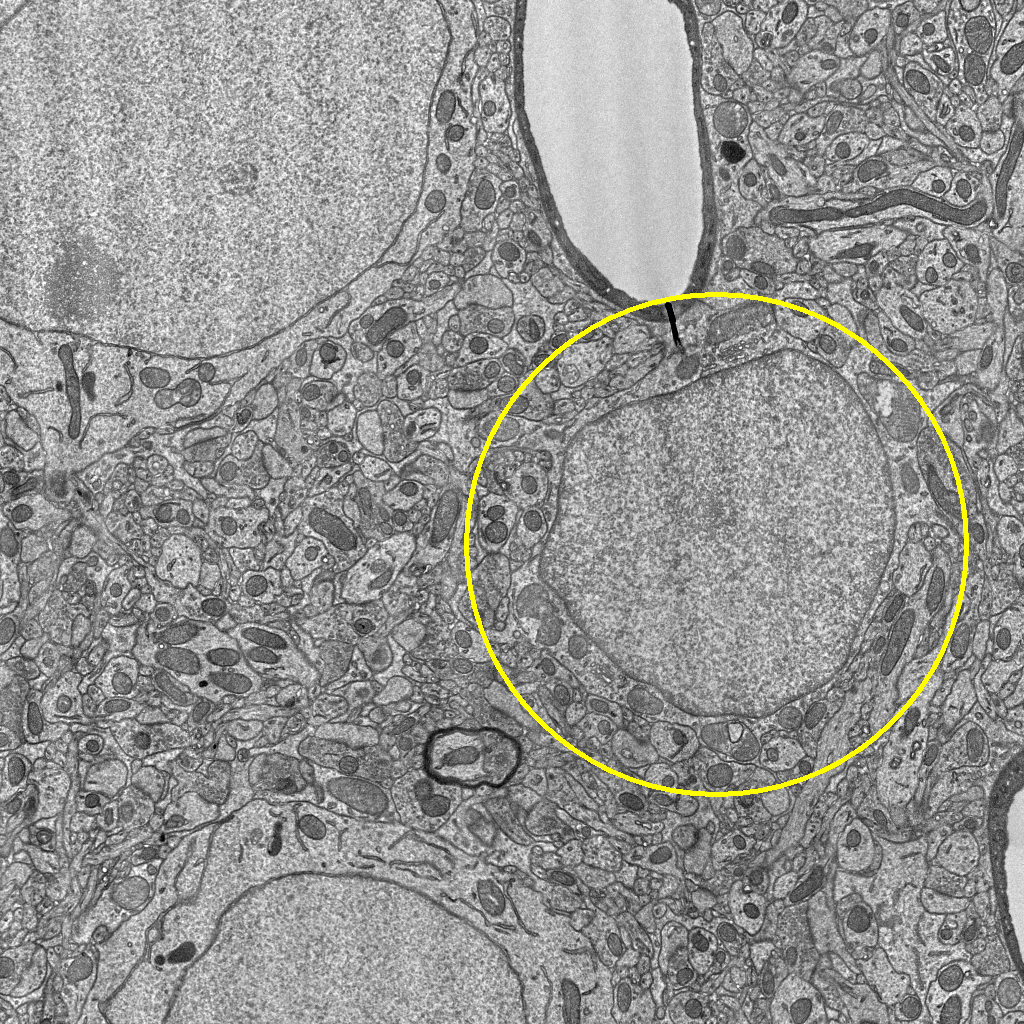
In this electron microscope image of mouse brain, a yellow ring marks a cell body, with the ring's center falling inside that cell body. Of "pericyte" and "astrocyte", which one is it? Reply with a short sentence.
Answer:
It is an astrocyte at the center of the ring.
